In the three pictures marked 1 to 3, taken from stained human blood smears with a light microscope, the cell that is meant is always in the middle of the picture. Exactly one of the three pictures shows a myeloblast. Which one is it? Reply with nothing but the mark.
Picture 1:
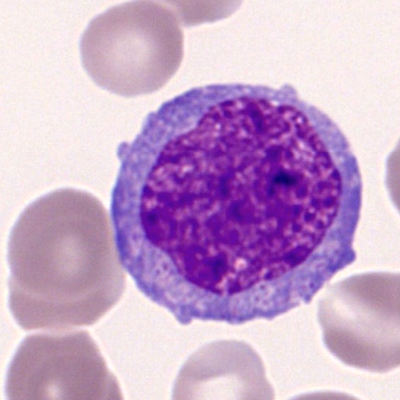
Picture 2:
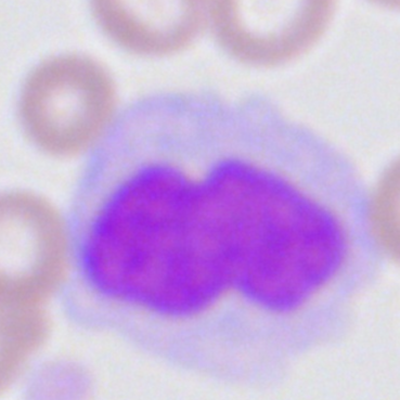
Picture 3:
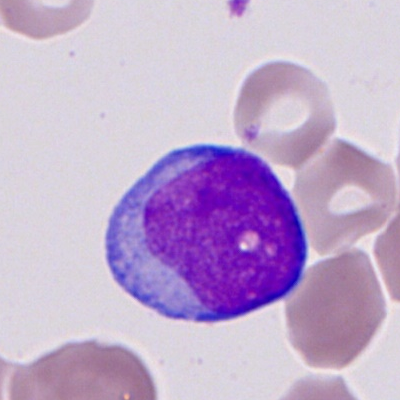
3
